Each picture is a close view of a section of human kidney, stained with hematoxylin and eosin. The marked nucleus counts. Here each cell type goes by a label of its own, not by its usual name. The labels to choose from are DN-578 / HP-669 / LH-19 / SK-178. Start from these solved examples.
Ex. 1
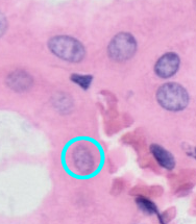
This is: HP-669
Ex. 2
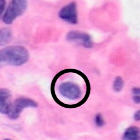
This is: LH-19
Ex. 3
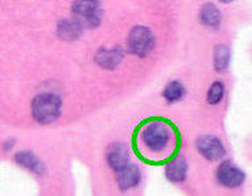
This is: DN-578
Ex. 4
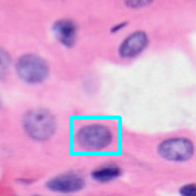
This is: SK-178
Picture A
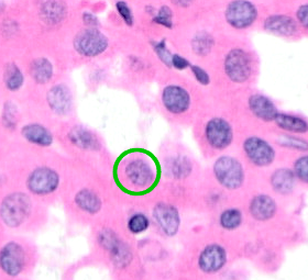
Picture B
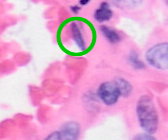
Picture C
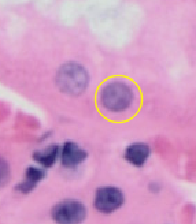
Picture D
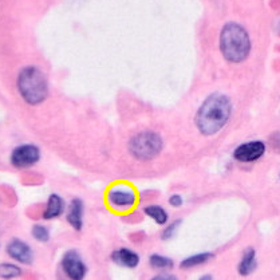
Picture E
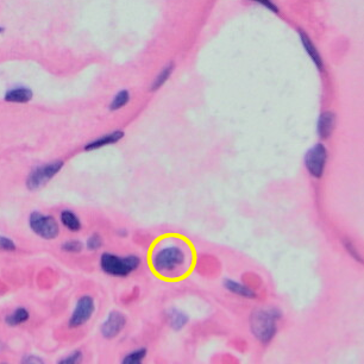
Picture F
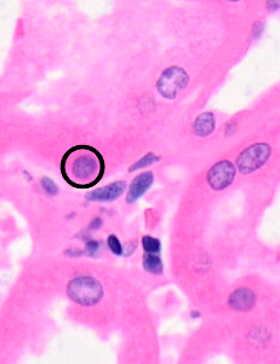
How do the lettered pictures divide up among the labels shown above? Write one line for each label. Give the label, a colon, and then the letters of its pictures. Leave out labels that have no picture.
HP-669: C, F
LH-19: B, D, E
SK-178: A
